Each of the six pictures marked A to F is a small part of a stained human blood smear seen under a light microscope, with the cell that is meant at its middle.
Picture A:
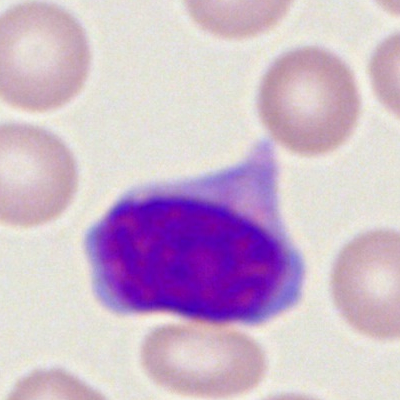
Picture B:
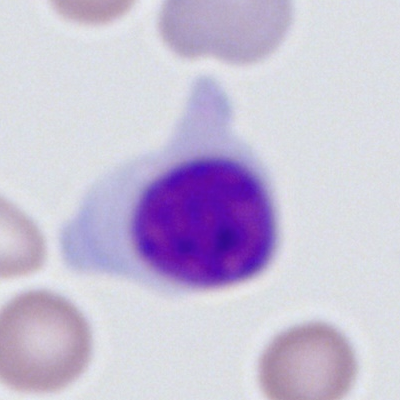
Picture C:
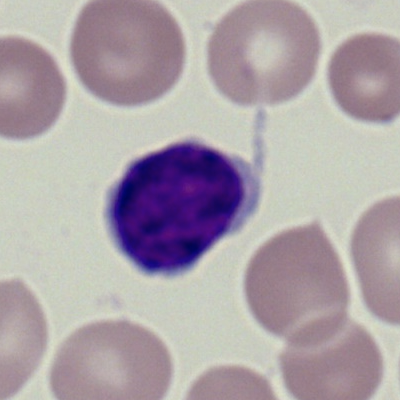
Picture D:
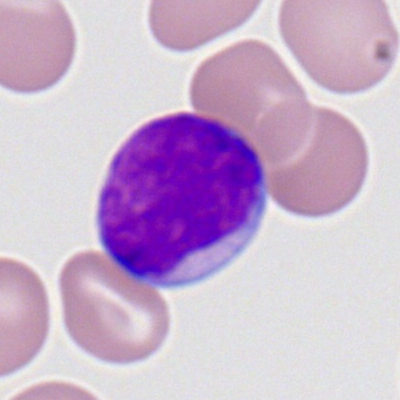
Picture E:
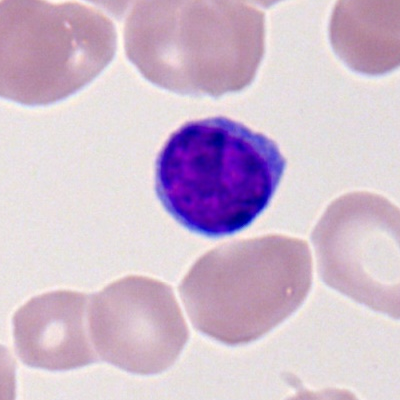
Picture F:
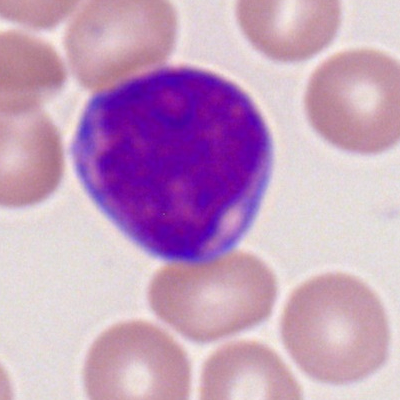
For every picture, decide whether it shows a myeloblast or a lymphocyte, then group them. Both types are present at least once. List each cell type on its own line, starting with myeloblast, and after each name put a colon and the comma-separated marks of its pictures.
myeloblast: D, F
lymphocyte: A, B, C, E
